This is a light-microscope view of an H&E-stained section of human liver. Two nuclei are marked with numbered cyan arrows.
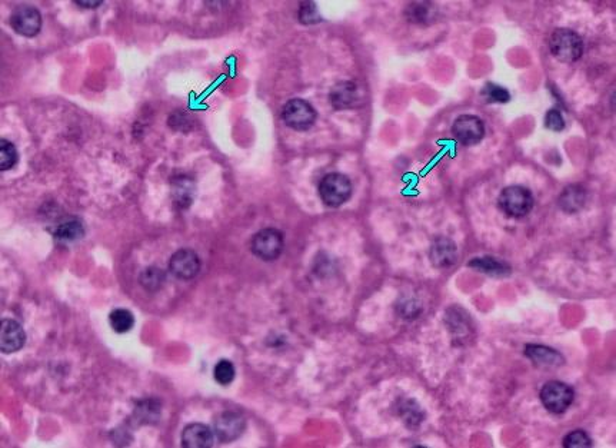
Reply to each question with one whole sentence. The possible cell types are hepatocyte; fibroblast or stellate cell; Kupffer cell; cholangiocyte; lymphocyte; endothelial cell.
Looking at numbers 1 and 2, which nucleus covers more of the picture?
Number 2 is larger; its area is about 1.5 times that of number 1.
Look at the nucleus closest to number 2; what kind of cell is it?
Number 2 lies closest to the nucleus of a lymphocyte.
